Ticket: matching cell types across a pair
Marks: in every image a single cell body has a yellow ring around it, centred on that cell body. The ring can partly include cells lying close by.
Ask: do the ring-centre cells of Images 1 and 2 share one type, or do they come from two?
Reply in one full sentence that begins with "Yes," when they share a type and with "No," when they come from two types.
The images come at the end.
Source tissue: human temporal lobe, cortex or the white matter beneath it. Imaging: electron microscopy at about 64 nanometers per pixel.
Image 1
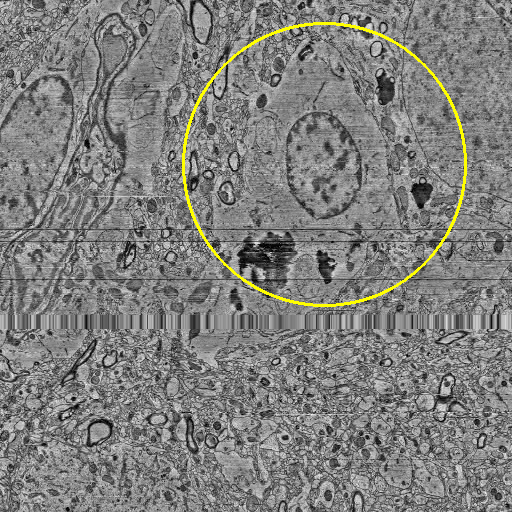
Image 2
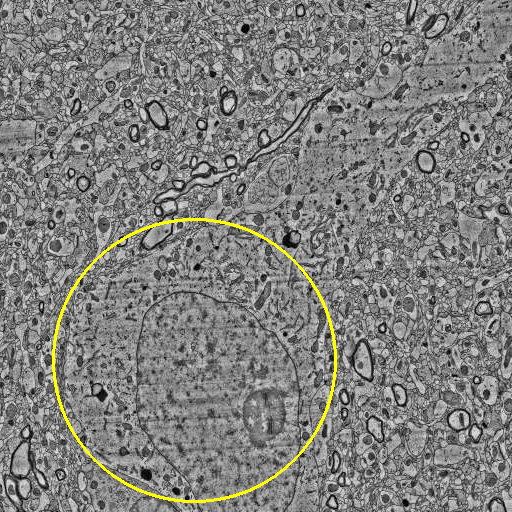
No, the cells in the centres of the rings in Image 1 and Image 2 come from two types.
